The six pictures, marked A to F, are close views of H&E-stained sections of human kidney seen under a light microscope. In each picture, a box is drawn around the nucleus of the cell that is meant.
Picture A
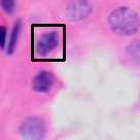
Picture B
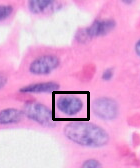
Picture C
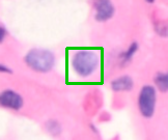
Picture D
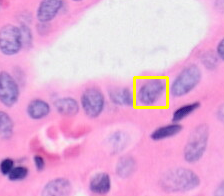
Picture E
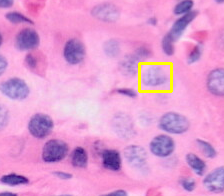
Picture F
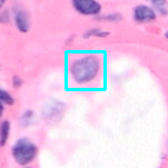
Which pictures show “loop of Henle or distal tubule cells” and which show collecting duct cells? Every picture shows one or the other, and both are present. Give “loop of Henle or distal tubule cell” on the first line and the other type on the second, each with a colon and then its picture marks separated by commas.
loop of Henle or distal tubule cell: A, C, F
collecting duct cell: B, D, E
